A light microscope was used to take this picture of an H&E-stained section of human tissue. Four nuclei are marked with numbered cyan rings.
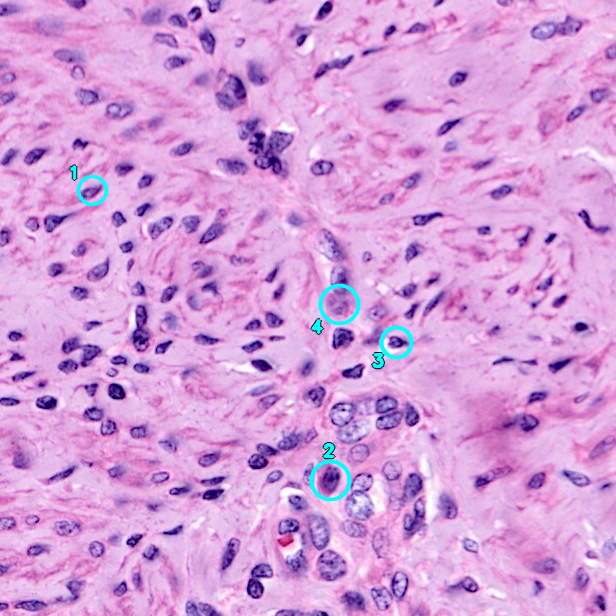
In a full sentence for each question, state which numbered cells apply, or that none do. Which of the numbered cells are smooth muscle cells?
Only number 1 of the marked cells is a smooth muscle cell.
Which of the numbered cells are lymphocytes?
In this section, the cells labelled 2 and 3 are lymphocytes.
